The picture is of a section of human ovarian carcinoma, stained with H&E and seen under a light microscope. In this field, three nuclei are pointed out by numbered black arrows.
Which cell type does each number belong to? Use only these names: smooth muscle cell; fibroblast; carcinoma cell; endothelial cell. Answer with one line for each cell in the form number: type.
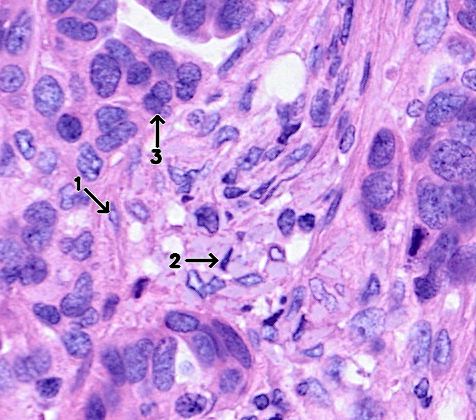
1: fibroblast
2: fibroblast
3: carcinoma cell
